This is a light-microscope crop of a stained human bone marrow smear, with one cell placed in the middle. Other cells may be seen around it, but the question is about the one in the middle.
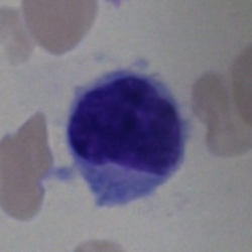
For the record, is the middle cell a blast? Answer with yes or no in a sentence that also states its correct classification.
No, the centered cell is a hairy cell and not a blast at all.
